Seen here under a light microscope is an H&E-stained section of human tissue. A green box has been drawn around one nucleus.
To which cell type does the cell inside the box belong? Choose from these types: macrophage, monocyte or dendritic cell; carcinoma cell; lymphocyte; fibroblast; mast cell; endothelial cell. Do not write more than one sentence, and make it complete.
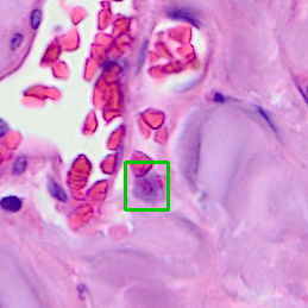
Within the stained tissue, the cell inside the box is an endothelial cell.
